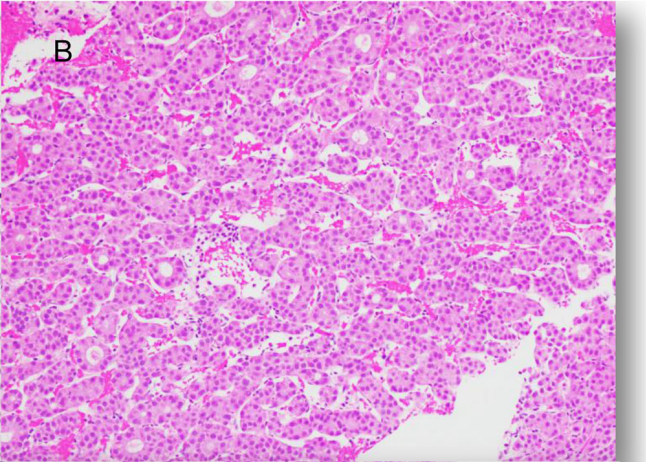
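The section shows liver tumor tissue made of pink polygonal cells in thick cords and nests separated by thin vascular spaces with red blood cells. Scattered through the sheets are small round lumens around which the cells are arranged in rings, forming gland-like structures. The nuclei are round and fairly uniform, and normal lobular architecture is not seen.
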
